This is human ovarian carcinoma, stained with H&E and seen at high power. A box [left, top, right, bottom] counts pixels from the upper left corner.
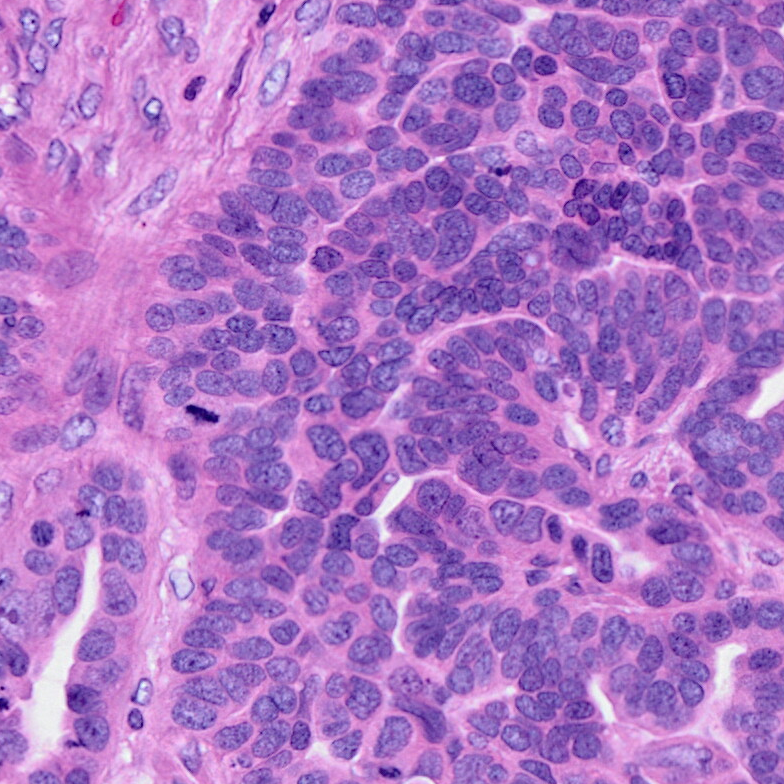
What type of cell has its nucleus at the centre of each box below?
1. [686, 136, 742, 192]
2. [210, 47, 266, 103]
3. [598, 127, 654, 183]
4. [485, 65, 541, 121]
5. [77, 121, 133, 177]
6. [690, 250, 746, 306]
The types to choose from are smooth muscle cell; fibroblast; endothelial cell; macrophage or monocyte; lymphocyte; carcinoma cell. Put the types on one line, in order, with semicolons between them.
carcinoma cell; fibroblast; carcinoma cell; carcinoma cell; fibroblast; carcinoma cell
